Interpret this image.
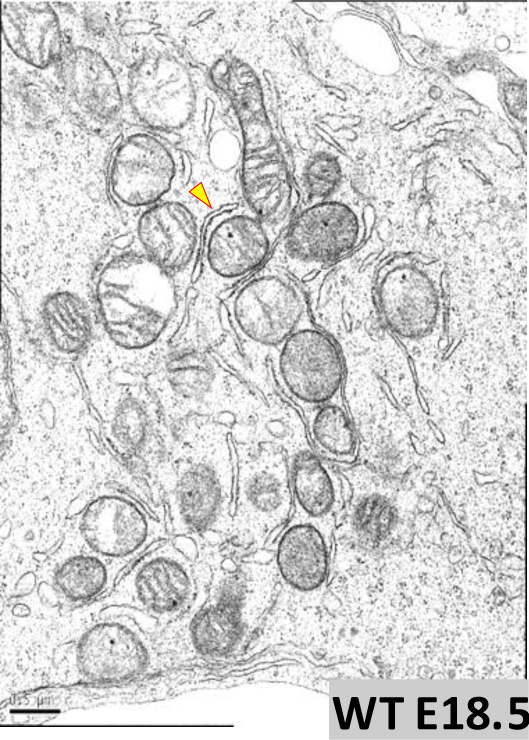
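This electron micrograph shows a germ cell cytoplasm packed with round and oval mitochondria with clear cristae. Thin tubules of endoplasmic reticulum run closely along and curve around several of the mitochondria.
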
